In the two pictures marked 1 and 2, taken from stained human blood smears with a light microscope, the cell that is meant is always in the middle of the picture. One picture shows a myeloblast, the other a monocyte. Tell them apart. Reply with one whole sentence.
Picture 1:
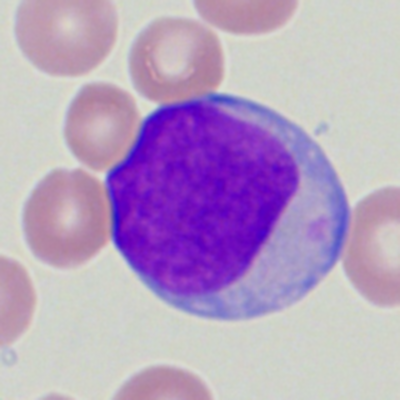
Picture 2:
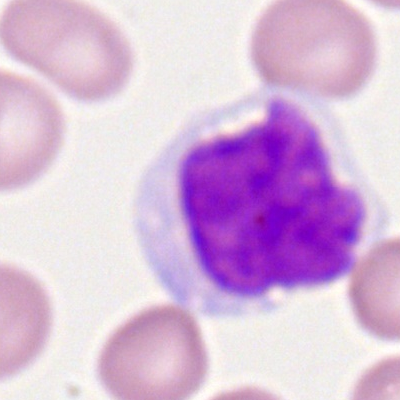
The cell in picture 1 is a myeloblast, and the one in picture 2 is a monocyte.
